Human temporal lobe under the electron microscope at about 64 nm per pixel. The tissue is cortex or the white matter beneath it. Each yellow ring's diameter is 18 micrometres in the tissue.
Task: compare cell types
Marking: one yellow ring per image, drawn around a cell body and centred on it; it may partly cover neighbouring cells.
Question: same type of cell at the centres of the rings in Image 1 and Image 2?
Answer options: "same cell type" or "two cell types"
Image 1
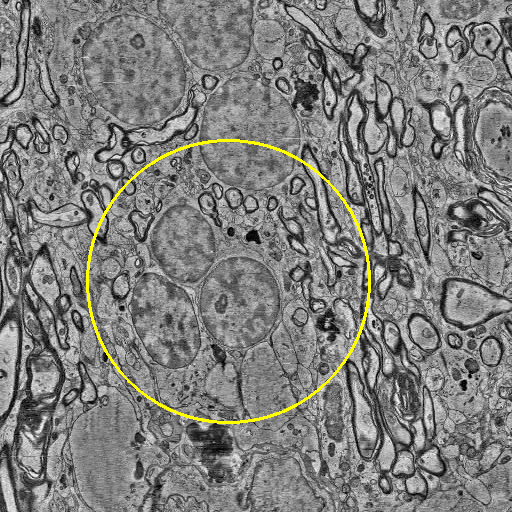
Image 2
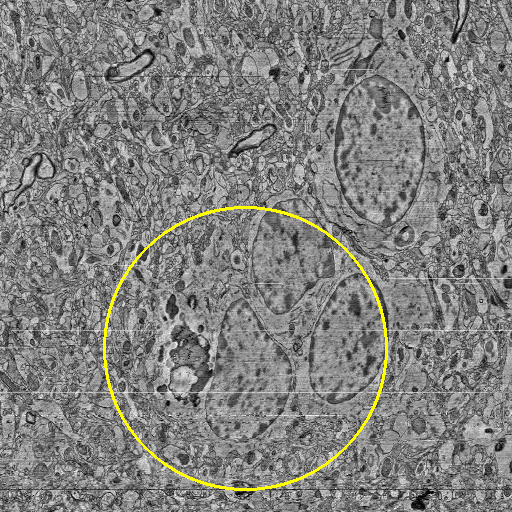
two cell types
